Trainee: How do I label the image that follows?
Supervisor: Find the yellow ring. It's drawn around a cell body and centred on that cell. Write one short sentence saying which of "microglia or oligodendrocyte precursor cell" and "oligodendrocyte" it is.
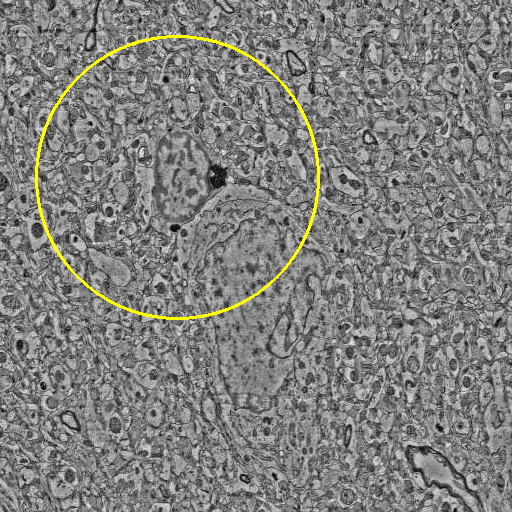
This is the cell body of an oligodendrocyte.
